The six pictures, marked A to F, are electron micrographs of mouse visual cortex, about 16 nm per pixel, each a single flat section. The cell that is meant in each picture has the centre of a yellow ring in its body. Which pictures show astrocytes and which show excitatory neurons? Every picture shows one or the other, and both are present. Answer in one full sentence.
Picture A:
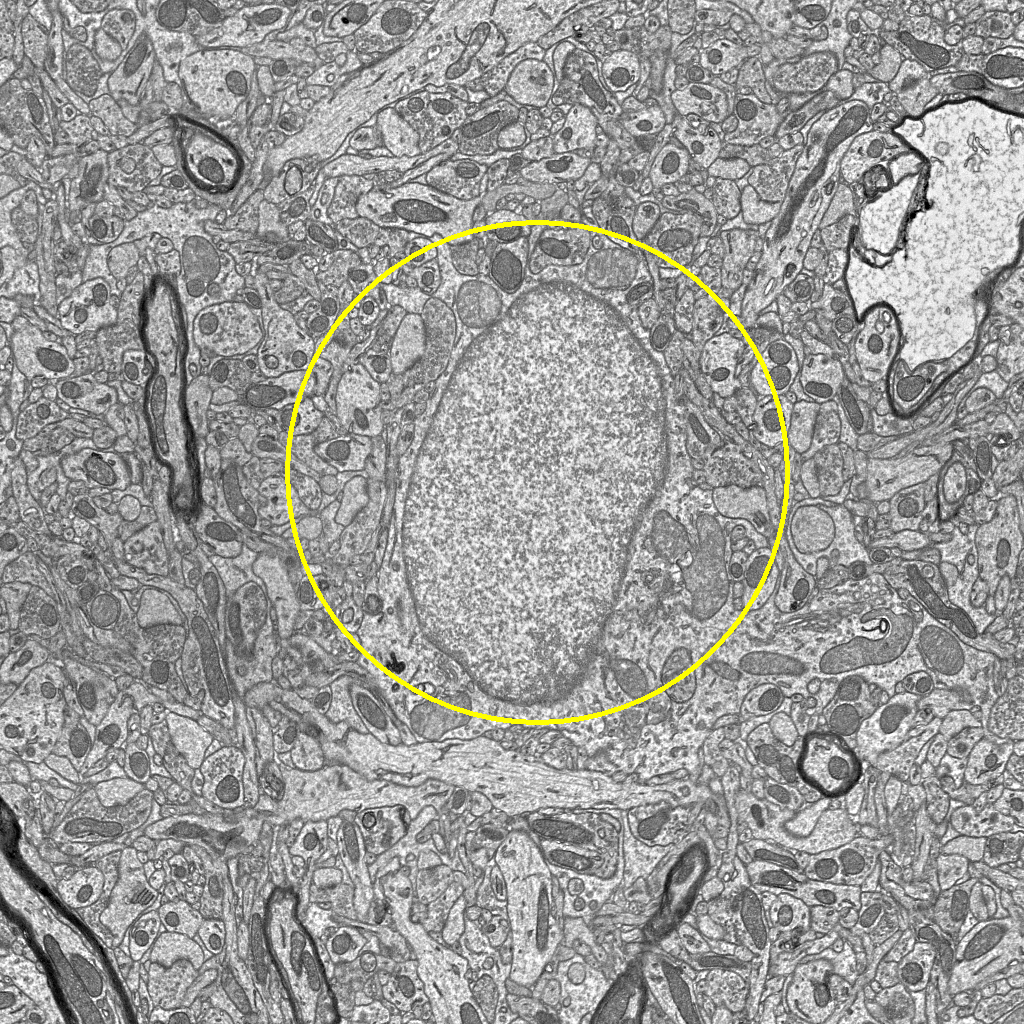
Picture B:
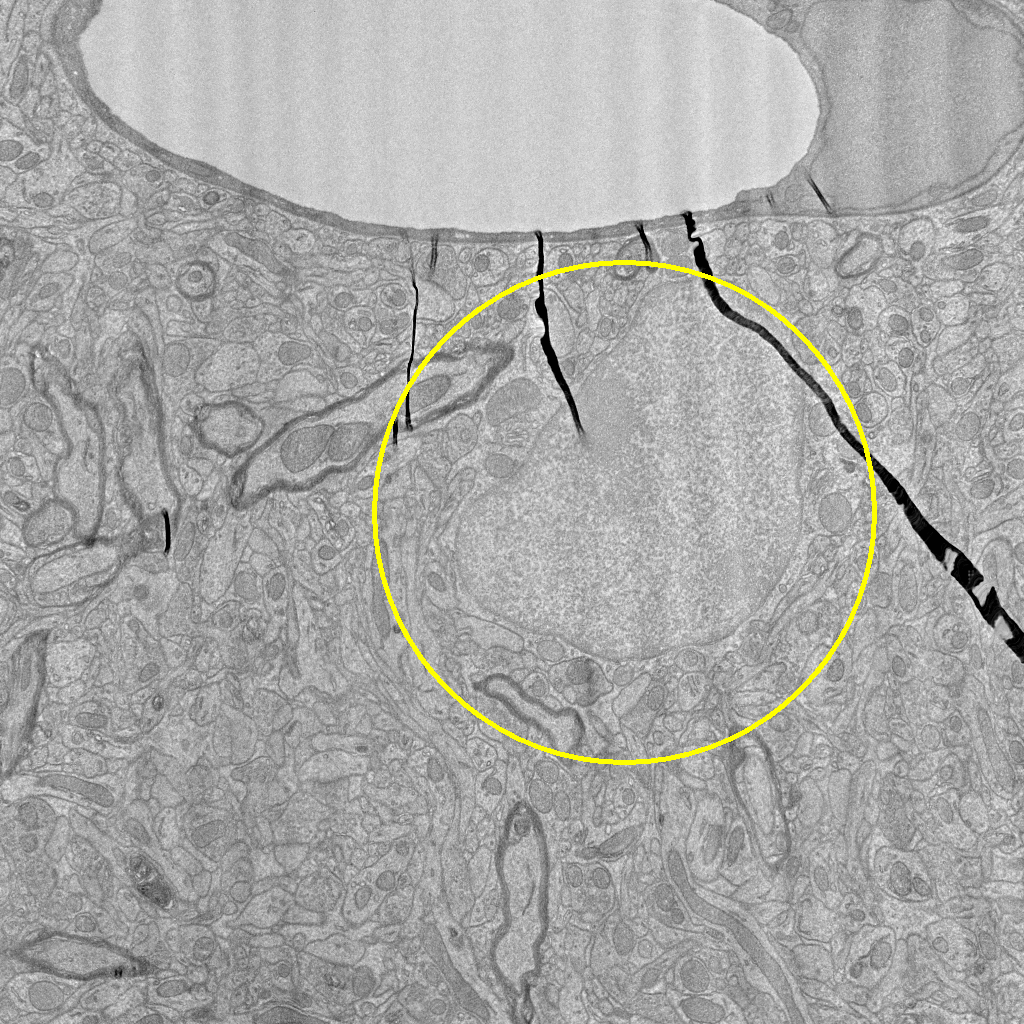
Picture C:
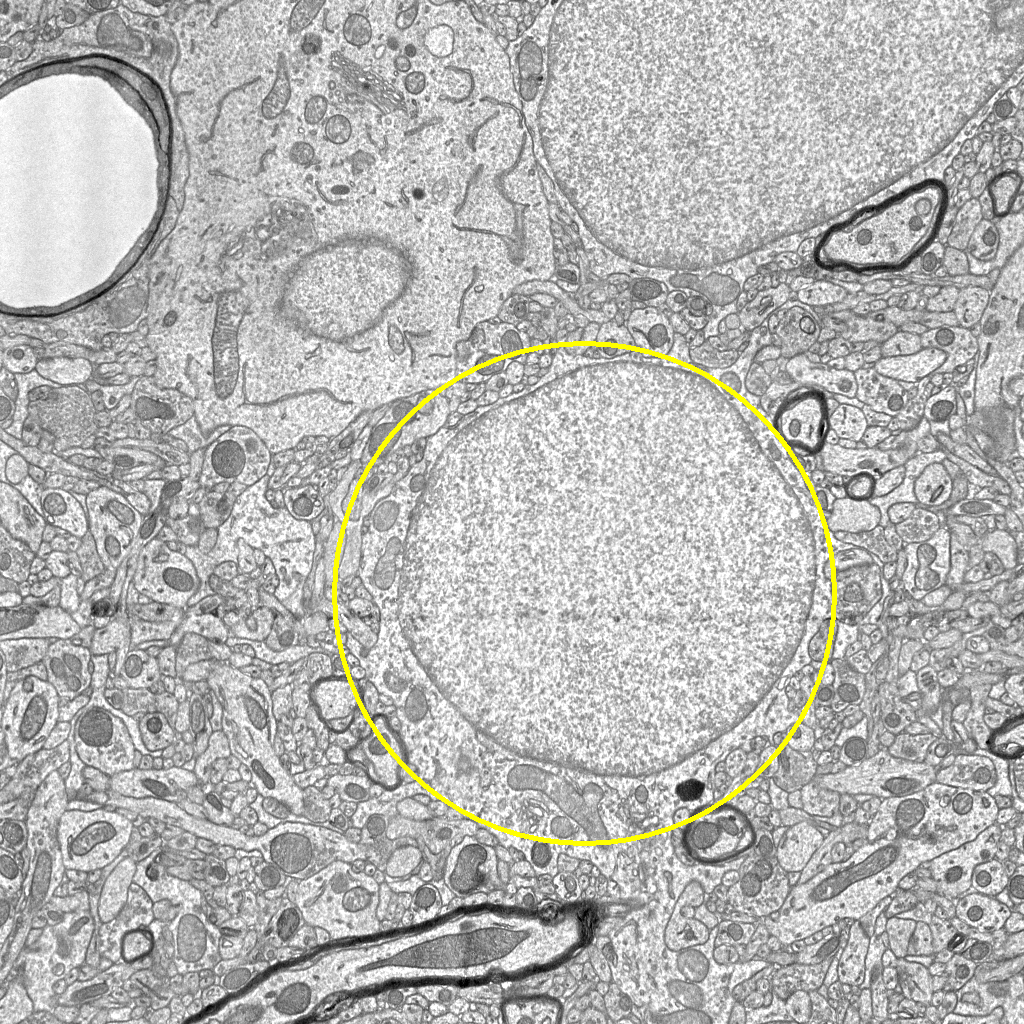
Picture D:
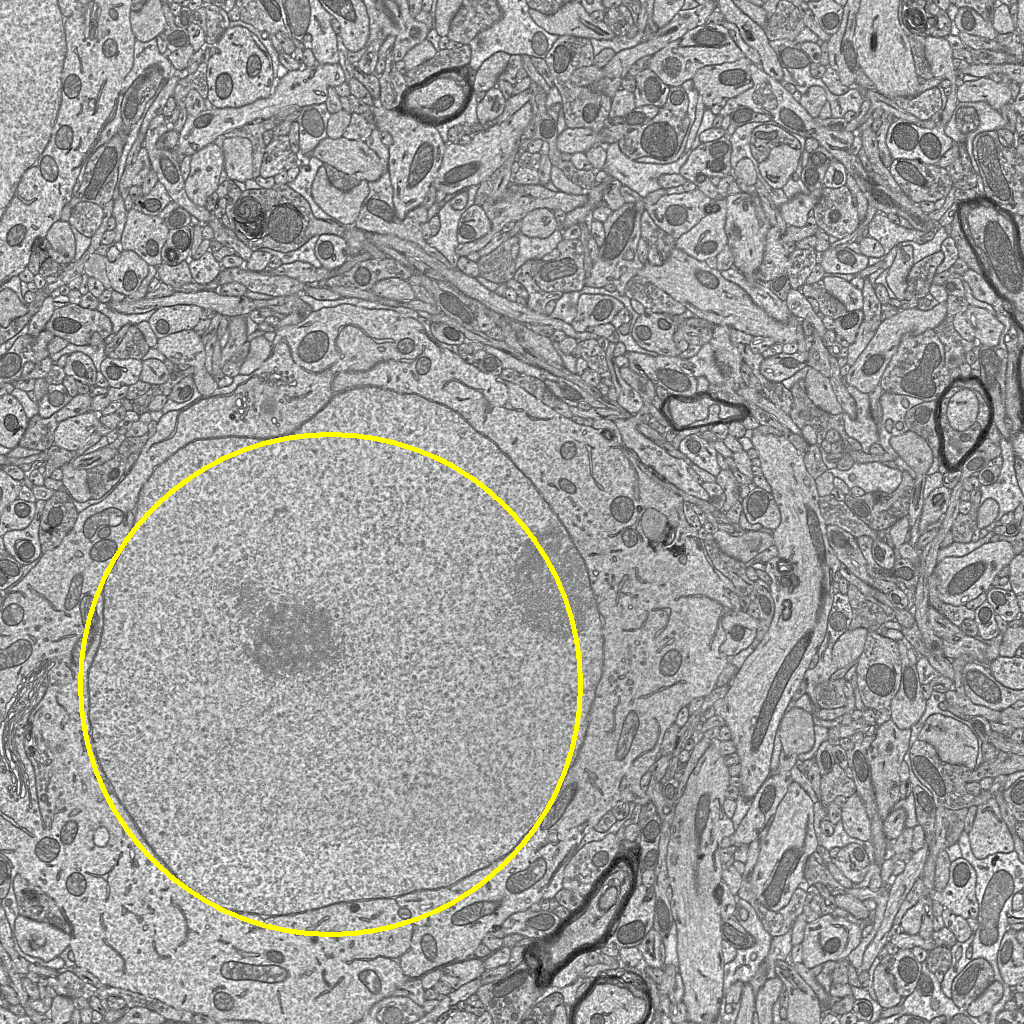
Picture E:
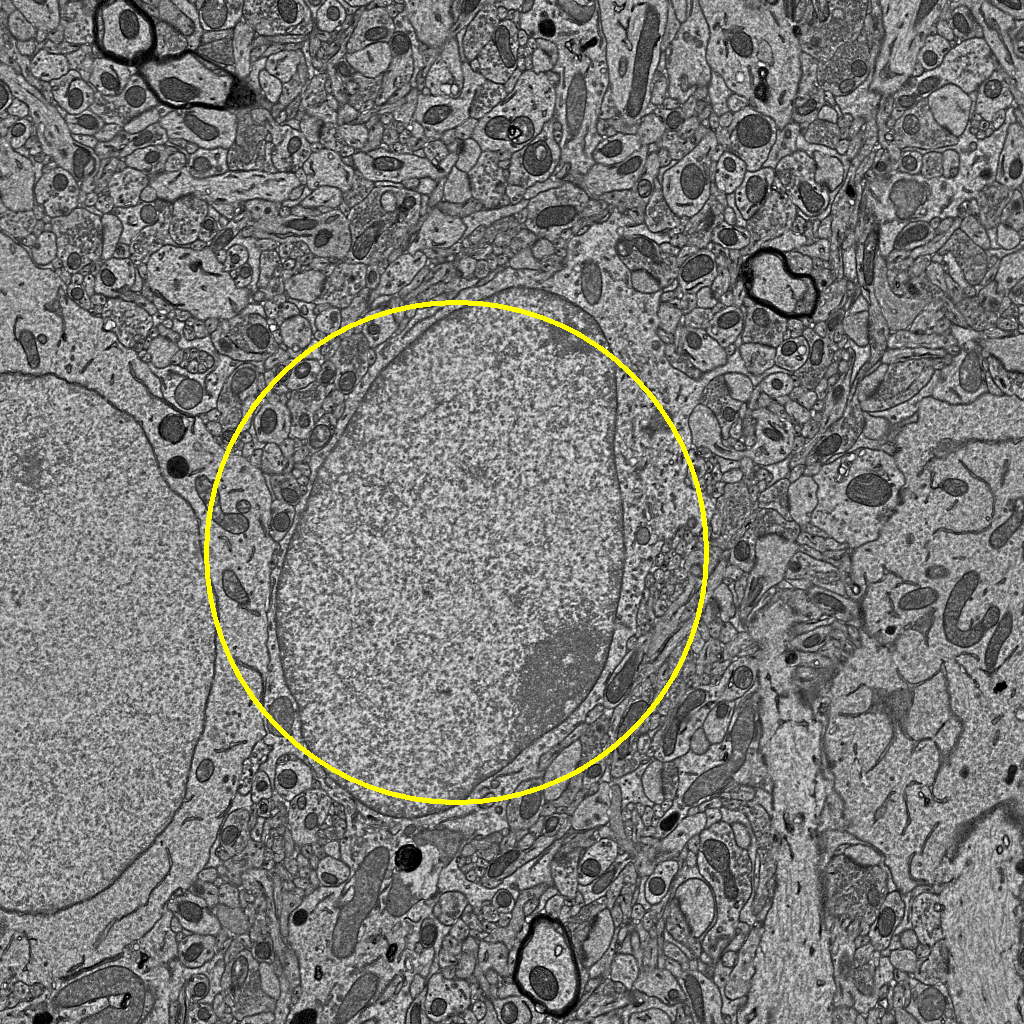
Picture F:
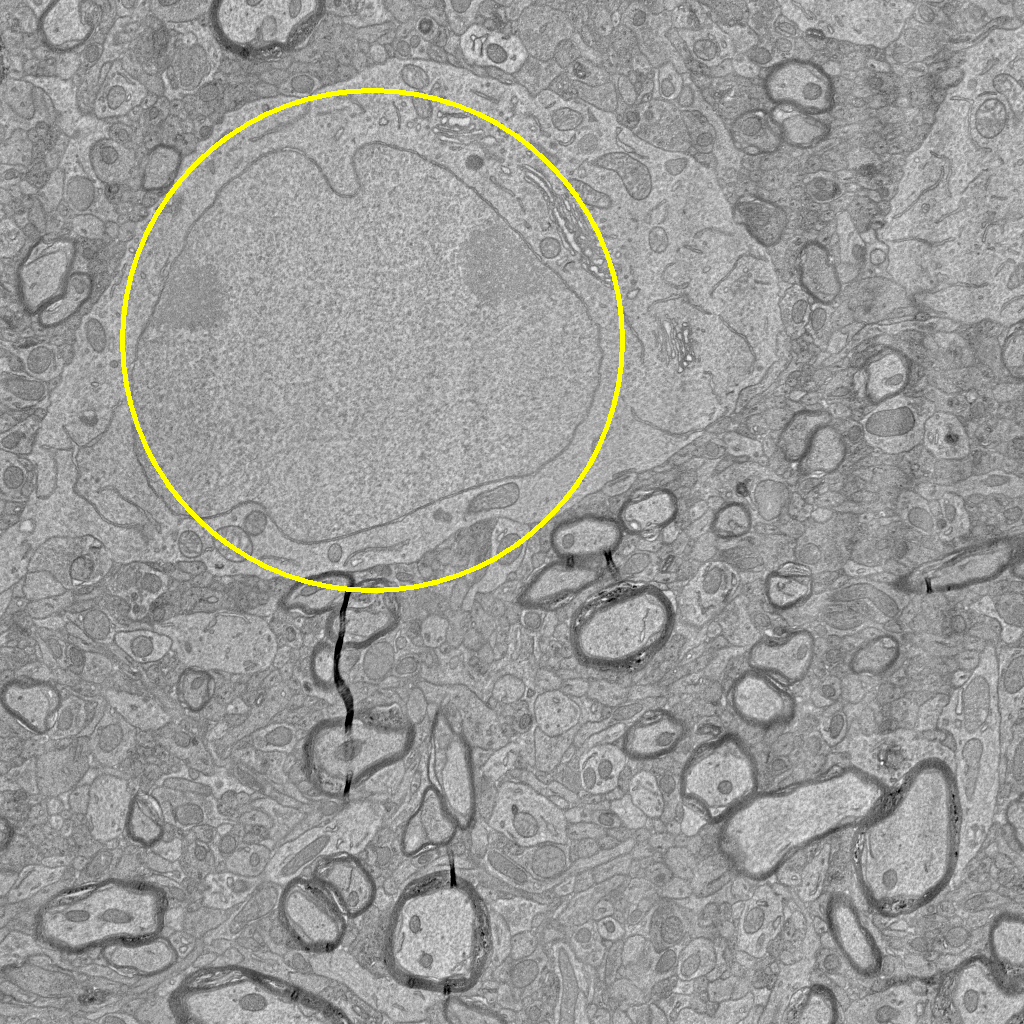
Pictures A, B, C and E show astrocytes, and pictures D and F show excitatory neurons.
